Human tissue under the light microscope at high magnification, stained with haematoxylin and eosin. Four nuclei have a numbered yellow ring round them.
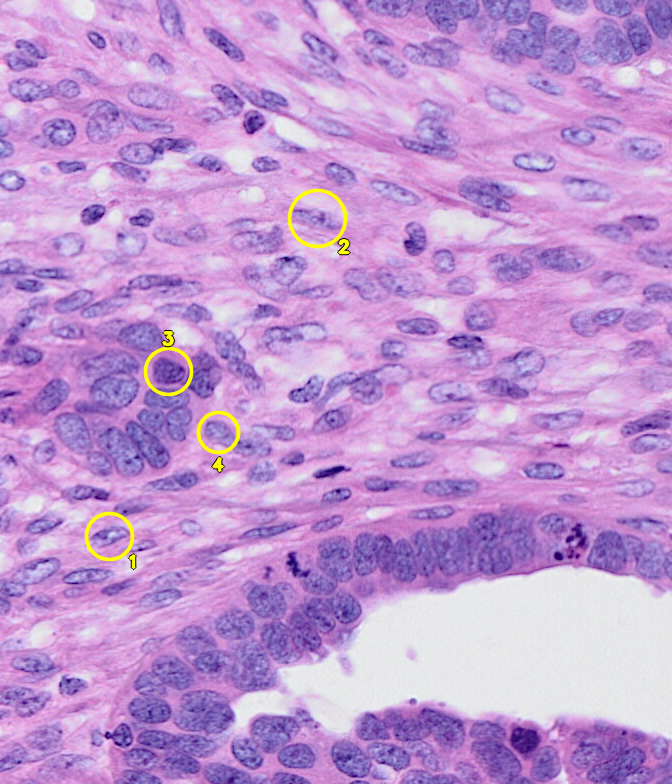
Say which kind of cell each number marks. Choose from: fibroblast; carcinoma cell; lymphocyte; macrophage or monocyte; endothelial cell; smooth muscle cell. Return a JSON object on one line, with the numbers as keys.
{"1": "fibroblast", "2": "fibroblast", "3": "carcinoma cell", "4": "fibroblast"}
